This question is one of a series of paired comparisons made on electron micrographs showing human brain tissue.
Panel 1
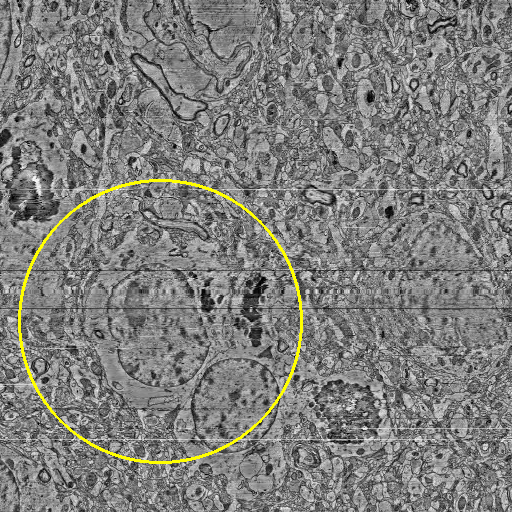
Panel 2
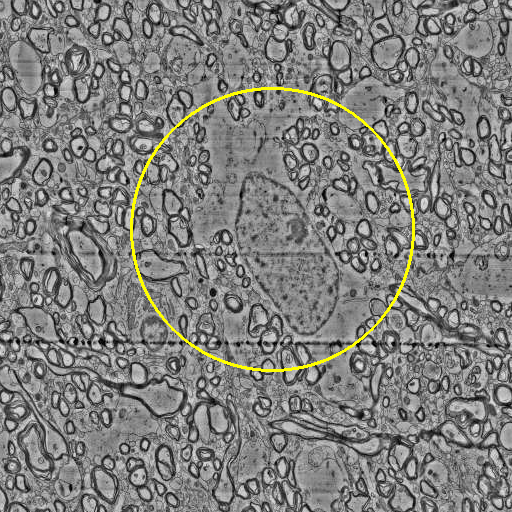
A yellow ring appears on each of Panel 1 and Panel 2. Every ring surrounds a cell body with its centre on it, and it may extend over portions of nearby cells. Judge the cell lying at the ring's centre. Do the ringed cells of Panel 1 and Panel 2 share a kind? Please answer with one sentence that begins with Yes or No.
Yes, the ring-centre cell in Panel 1 and the one in Panel 2 are of one kind.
